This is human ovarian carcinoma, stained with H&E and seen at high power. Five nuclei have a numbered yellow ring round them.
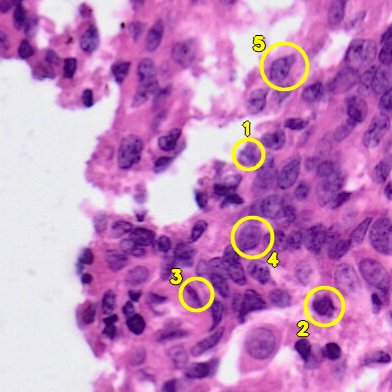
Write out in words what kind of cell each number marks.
Cell 1 is a macrophage or monocyte, cell 2 is a carcinoma cell, cell 3 is a carcinoma cell, cell 4 is a carcinoma cell and cell 5 is a macrophage or monocyte.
